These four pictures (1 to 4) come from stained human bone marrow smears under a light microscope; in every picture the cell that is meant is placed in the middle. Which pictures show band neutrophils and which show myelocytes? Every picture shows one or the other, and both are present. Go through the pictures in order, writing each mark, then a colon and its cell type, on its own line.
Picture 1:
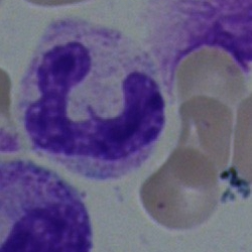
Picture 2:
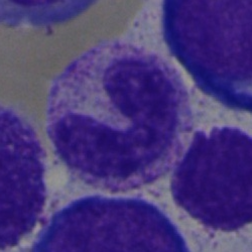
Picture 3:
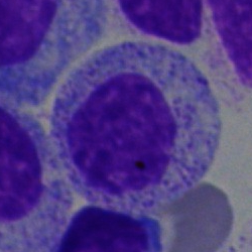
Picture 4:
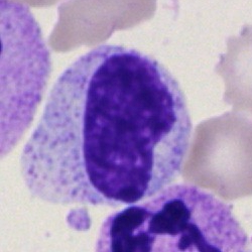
1: band neutrophil
2: band neutrophil
3: myelocyte
4: band neutrophil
